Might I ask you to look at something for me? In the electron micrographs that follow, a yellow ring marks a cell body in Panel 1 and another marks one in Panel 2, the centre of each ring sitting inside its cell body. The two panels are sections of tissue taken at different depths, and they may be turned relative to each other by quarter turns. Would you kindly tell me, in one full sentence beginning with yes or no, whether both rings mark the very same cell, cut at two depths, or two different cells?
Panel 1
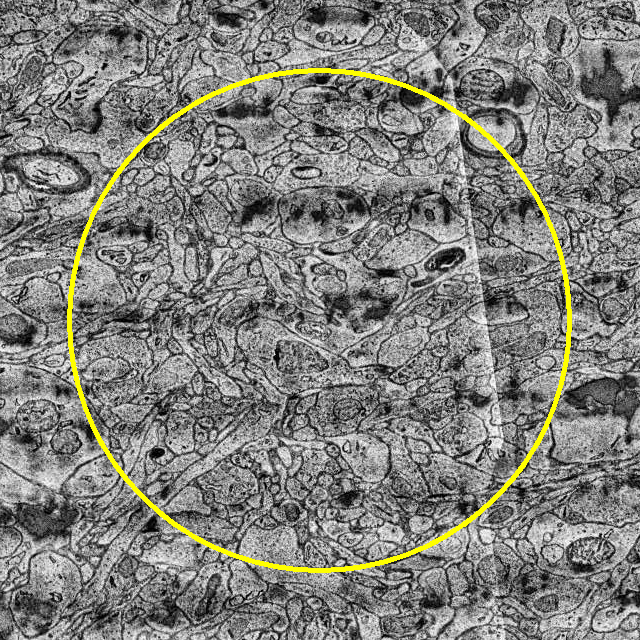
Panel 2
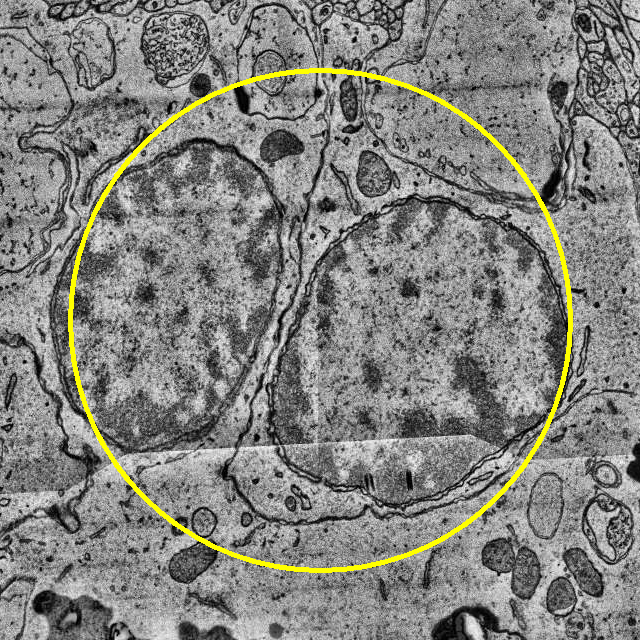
No, each ring encloses a different cell in the tissue.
